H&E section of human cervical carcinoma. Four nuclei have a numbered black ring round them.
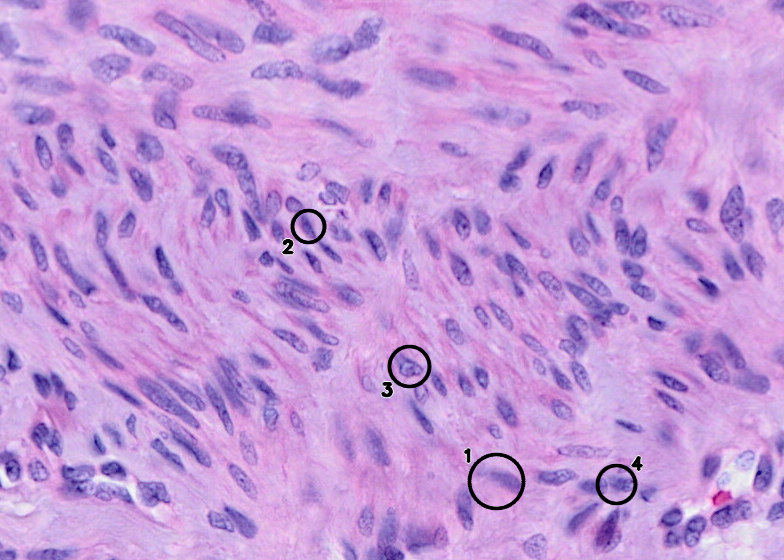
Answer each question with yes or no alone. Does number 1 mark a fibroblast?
no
